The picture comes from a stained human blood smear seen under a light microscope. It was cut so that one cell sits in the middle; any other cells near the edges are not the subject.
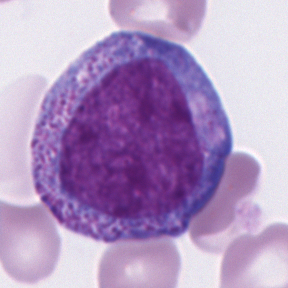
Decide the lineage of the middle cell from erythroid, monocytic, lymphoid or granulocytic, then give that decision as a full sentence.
Among the lineages, the granulocytic one is that of the central cell.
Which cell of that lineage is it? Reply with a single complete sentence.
Looking at the middle of the crop, the cell there is a promyelocyte.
